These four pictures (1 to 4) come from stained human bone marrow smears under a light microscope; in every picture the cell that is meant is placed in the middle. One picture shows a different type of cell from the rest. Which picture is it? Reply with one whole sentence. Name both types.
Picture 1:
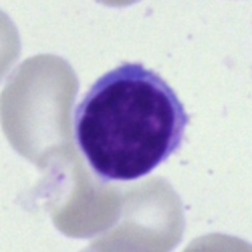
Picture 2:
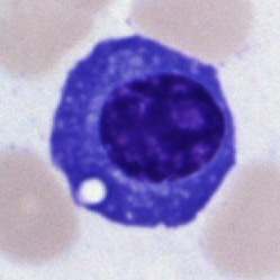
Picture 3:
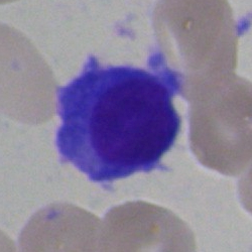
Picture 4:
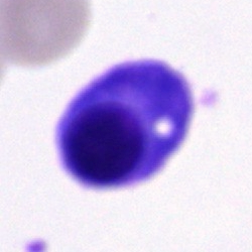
The different one is picture 1; it shows a lymphocyte, whereas all the others show plasma cells.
